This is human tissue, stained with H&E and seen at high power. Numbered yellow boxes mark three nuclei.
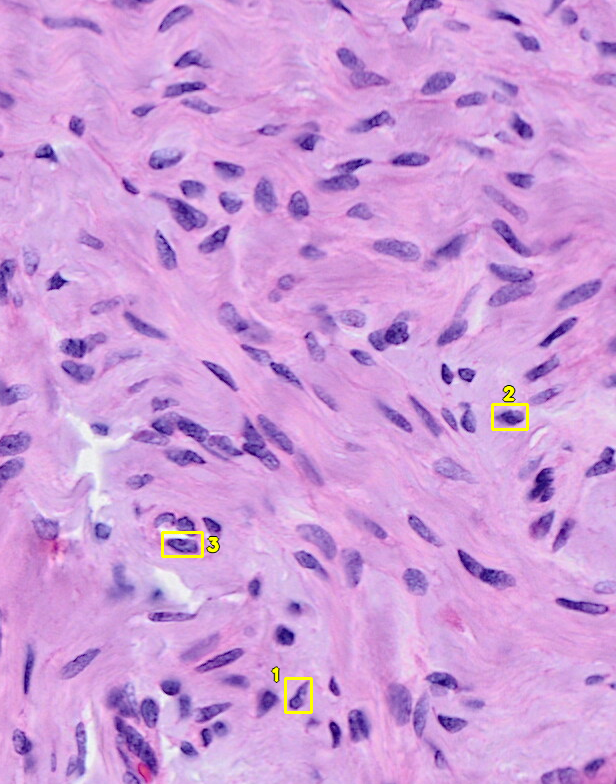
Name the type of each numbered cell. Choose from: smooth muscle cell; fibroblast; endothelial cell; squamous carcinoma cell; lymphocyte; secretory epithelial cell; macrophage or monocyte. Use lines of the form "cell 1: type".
cell 1: fibroblast
cell 2: fibroblast
cell 3: endothelial cell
